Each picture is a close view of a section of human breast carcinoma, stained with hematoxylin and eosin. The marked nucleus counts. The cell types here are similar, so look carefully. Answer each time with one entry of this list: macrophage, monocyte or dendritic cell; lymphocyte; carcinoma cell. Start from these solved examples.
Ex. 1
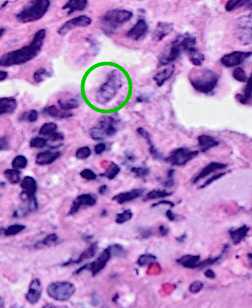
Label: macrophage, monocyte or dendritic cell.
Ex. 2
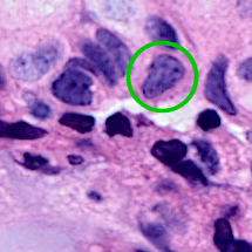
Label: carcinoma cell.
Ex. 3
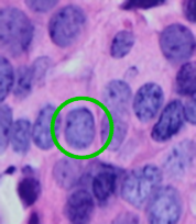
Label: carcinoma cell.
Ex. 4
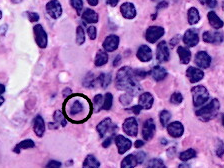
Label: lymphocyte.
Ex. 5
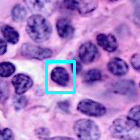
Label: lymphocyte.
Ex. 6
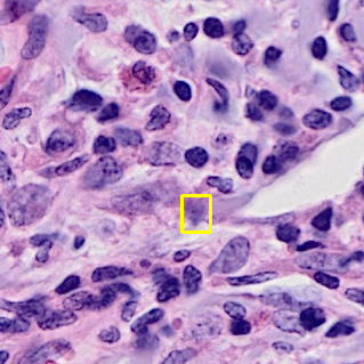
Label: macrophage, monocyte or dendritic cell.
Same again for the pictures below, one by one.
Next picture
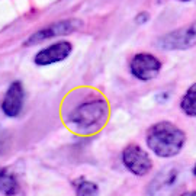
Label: macrophage, monocyte or dendritic cell.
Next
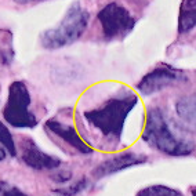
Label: carcinoma cell.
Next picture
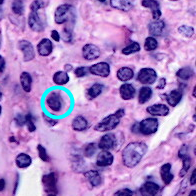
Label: lymphocyte.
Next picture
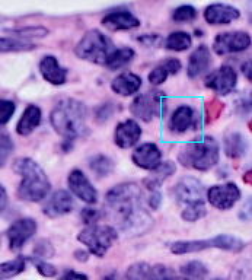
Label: lymphocyte.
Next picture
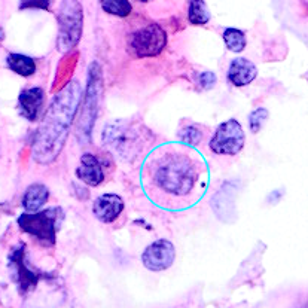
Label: macrophage, monocyte or dendritic cell.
